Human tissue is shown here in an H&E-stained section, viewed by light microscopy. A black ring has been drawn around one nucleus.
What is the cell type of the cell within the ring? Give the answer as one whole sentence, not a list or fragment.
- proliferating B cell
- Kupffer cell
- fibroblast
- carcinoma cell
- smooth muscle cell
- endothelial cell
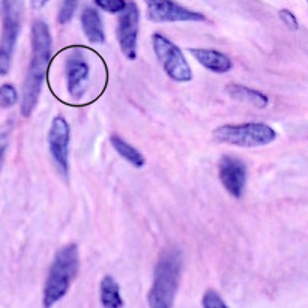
In this tissue section, the cell within the ring is to be classed as a fibroblast.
